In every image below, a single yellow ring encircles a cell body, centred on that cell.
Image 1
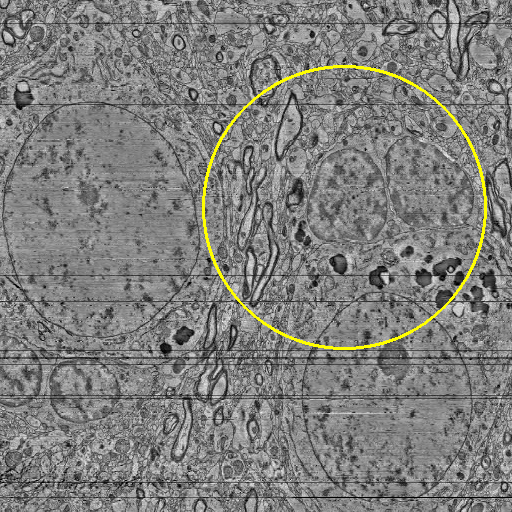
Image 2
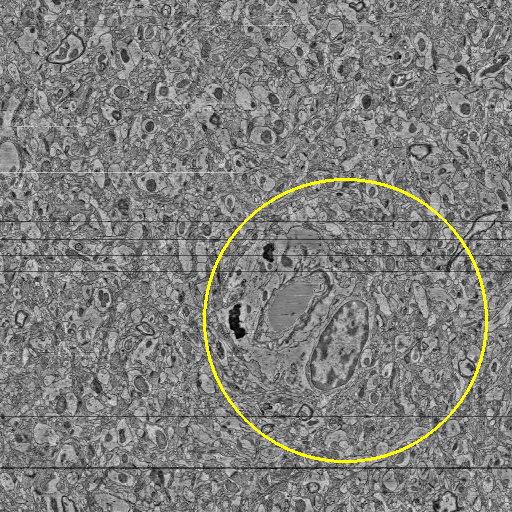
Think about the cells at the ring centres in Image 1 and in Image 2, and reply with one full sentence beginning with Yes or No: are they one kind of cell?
No, the cells centred in the rings of Image 1 and Image 2 are two kinds of cell.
